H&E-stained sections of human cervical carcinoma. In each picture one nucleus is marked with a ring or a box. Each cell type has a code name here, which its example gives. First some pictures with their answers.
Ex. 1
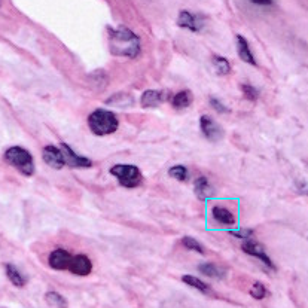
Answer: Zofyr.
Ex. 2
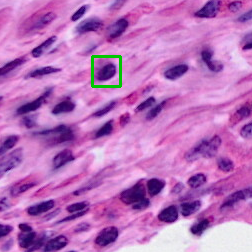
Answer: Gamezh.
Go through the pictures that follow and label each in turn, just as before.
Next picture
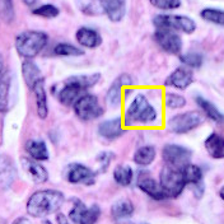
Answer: Gamezh.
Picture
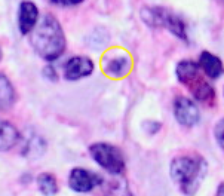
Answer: Gamezh.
